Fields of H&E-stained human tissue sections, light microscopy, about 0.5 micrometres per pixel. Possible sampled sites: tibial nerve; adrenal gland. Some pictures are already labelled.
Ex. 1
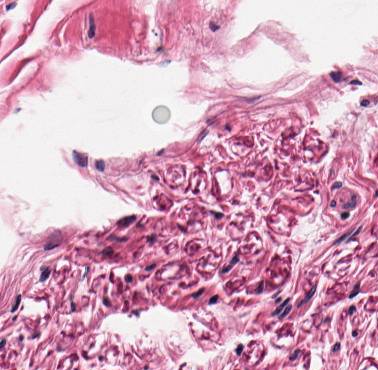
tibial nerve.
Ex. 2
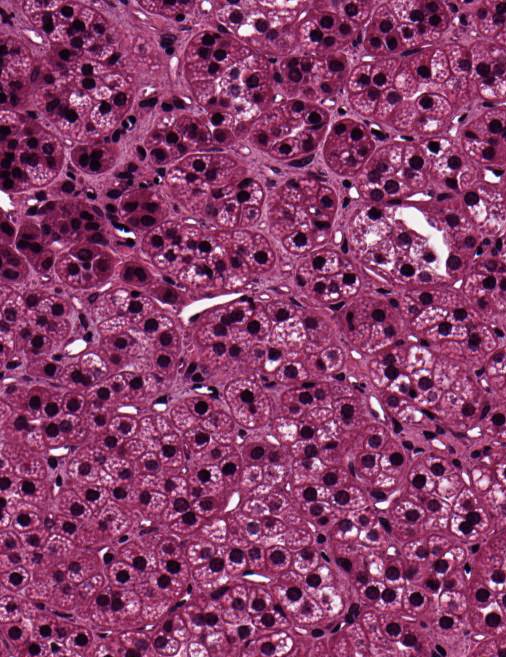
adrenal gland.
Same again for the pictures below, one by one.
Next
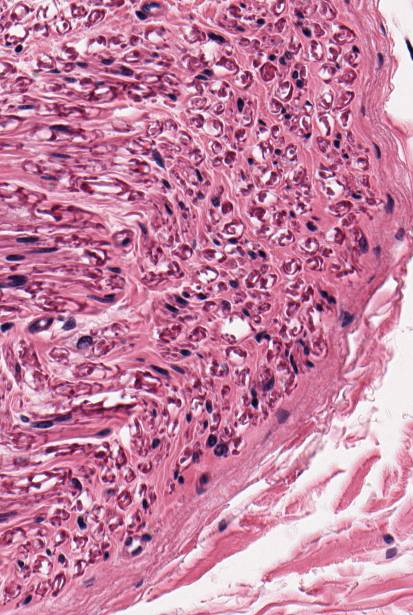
tibial nerve.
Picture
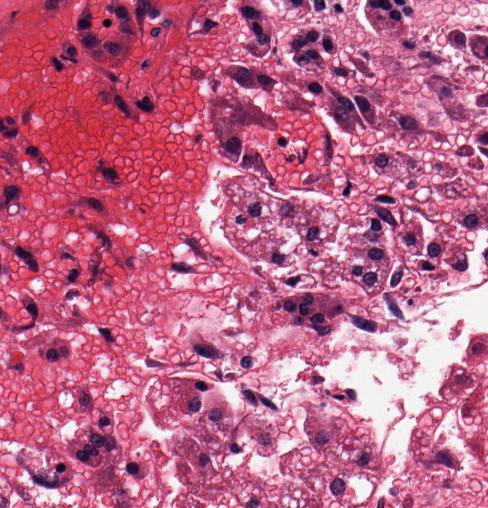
adrenal gland.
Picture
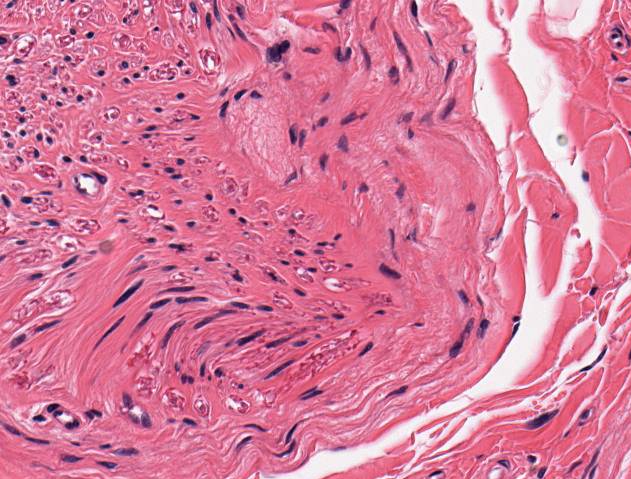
tibial nerve.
